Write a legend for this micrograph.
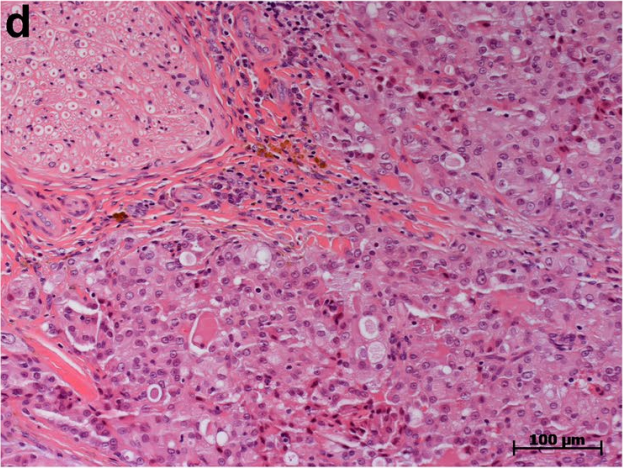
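Tumour cells in solid sheets with moderately abundant pink cytoplasm and round nuclei that vary in size and darkness, some enlarged. A band of fibrous stroma with scattered lymphocytes and brown pigment granules crosses the field, and a few small clear vacuole-like spaces lie among the cells.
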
